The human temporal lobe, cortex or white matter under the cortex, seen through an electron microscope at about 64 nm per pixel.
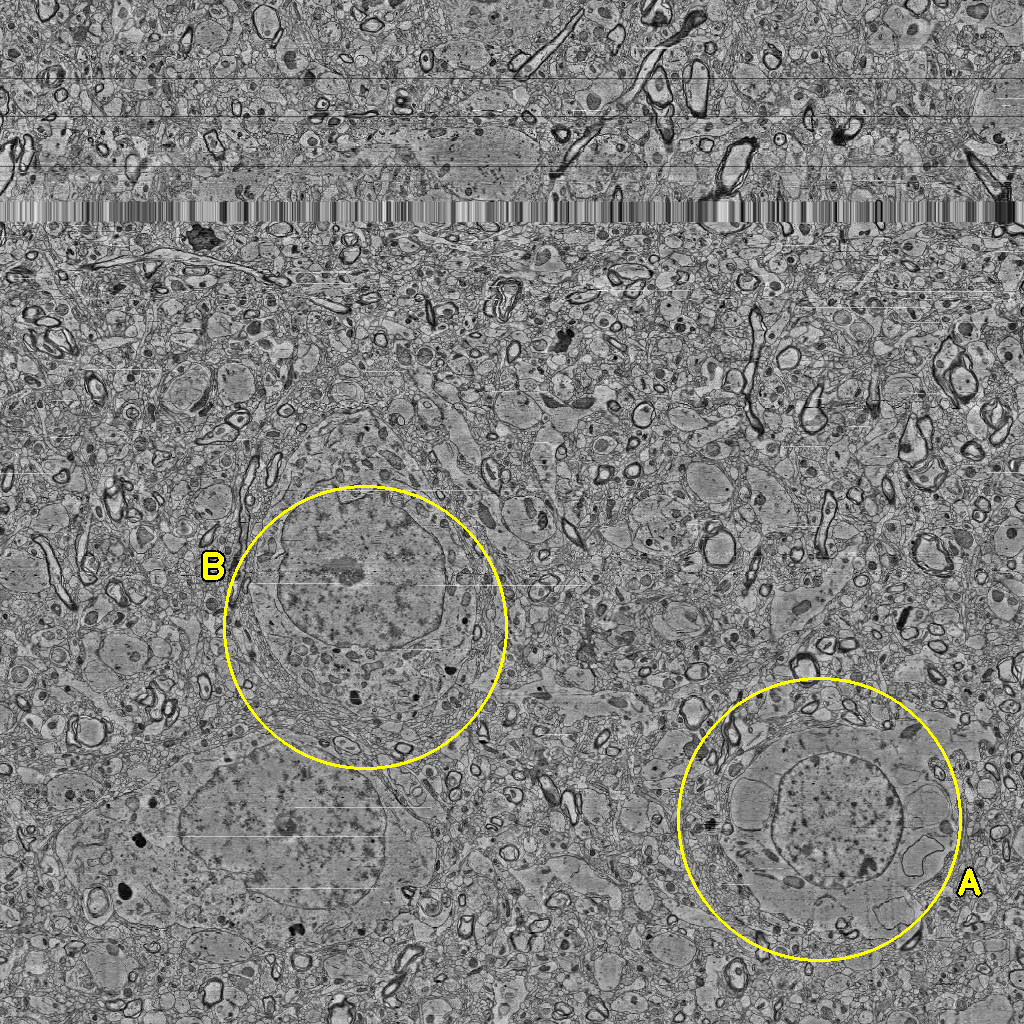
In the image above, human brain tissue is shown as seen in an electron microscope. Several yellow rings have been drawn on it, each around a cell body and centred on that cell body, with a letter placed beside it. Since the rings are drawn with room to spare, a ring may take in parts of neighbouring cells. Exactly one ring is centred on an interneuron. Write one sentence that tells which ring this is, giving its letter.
The ring marked B is centred on it.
